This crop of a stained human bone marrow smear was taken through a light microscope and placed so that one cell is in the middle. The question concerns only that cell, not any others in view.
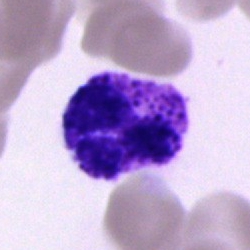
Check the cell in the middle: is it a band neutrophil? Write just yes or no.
no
